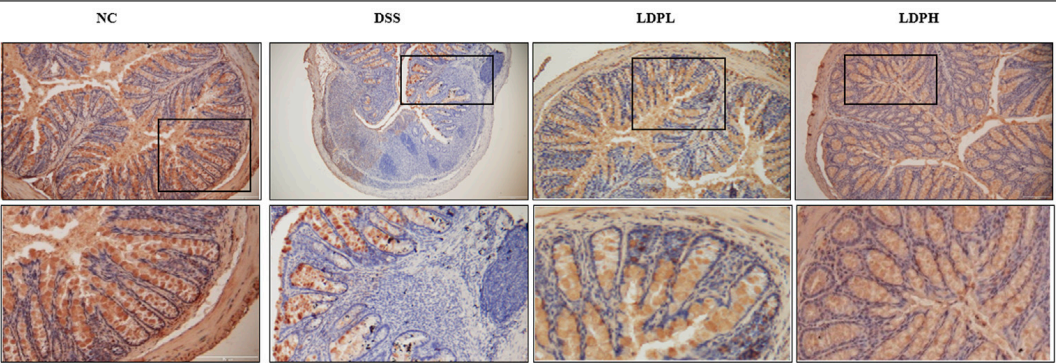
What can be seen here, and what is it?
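Cross sections of colon show crypts arranged around a branched lumen, with brown staining filling the epithelium of the crypts against a blue counterstain. In one section the crypts are largely lost, and the wall is thickened by pale blue tissue with dense dark-blue cell aggregates, keeping only a small patch of brown-stained crypts.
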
